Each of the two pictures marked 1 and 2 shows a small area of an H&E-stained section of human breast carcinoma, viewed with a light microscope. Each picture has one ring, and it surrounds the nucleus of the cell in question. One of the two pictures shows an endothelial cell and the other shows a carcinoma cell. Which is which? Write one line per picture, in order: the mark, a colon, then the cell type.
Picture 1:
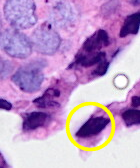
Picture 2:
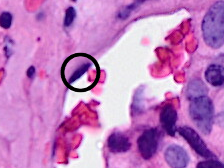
1: carcinoma cell
2: endothelial cell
